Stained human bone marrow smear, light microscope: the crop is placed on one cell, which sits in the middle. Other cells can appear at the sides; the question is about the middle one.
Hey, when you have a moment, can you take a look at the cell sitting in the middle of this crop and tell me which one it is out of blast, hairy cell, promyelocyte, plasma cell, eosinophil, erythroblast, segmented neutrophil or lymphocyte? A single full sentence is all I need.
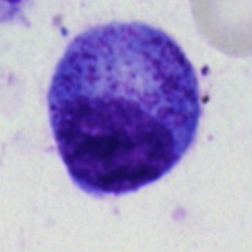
Centrally within this crop lies a promyelocyte.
